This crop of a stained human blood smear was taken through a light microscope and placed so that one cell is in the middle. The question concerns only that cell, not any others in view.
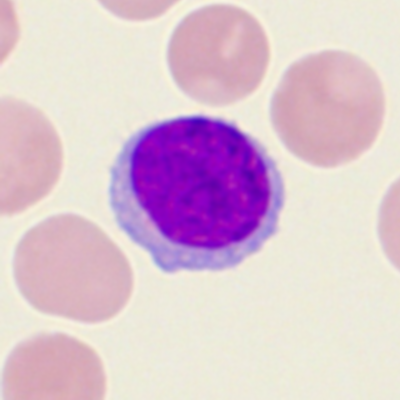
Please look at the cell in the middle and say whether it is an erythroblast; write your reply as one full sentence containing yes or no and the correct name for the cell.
No, instead of an erythroblast, the middle cell is a lymphocyte.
